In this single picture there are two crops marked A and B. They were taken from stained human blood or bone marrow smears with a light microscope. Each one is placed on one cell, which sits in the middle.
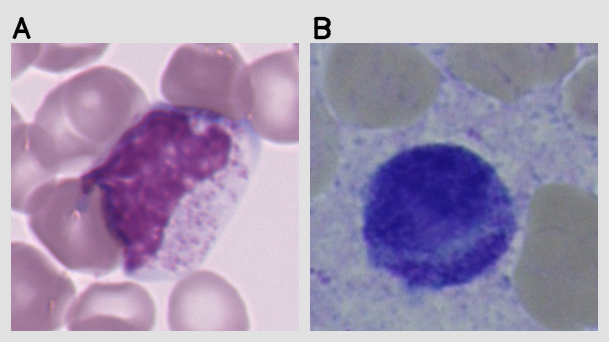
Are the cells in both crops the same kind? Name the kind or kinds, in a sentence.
Yes, for both crops, the central cells are myelocytes.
